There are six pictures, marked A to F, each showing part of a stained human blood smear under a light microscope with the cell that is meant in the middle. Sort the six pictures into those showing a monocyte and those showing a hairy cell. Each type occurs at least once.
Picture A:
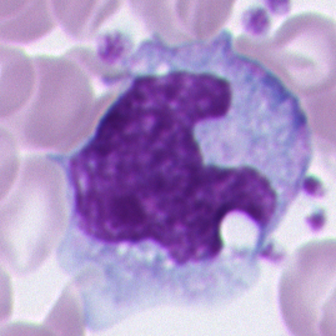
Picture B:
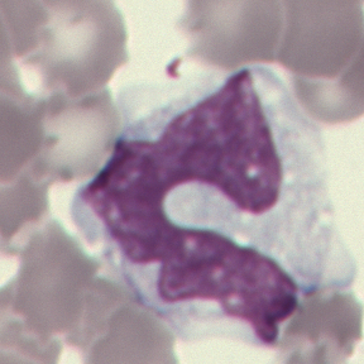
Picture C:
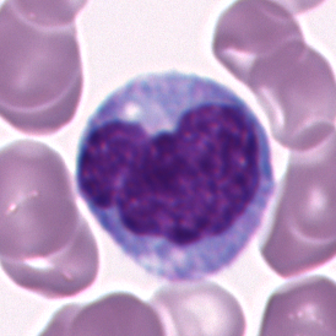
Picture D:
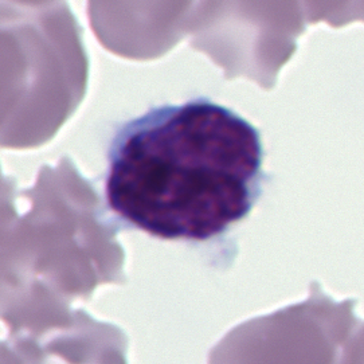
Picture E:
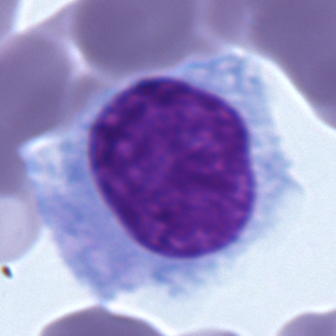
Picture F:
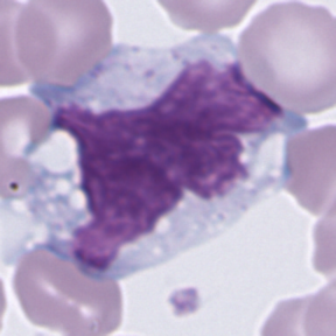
A: monocyte
B: monocyte
C: monocyte
D: hairy cell
E: hairy cell
F: monocyte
